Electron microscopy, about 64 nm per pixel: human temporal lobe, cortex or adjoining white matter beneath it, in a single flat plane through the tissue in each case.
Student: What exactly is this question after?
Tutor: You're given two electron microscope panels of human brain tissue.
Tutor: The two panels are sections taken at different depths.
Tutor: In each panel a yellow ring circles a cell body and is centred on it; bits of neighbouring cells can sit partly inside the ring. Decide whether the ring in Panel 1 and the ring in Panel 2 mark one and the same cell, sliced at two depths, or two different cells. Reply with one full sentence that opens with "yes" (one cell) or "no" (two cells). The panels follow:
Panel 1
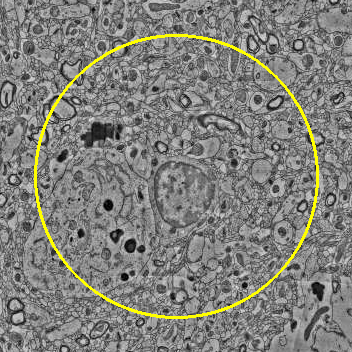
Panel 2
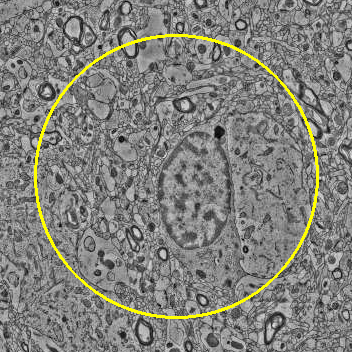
No, the two marked cells are different cells.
